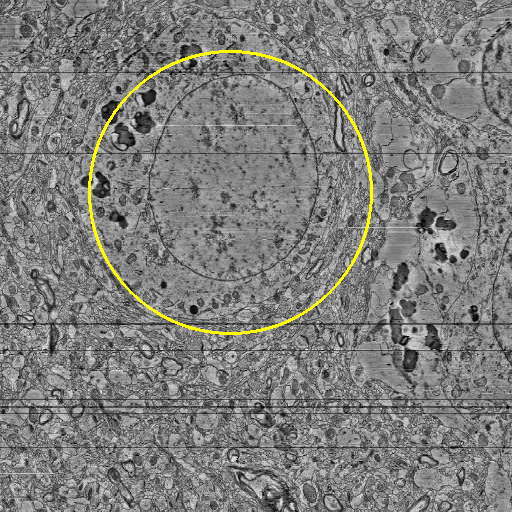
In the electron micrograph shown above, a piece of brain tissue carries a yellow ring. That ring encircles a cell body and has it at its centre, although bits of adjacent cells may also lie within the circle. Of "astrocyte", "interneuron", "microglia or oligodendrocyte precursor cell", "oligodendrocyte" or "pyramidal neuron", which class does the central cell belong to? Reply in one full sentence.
The cell body at the centre of the yellow ring belongs to a pyramidal neuron.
